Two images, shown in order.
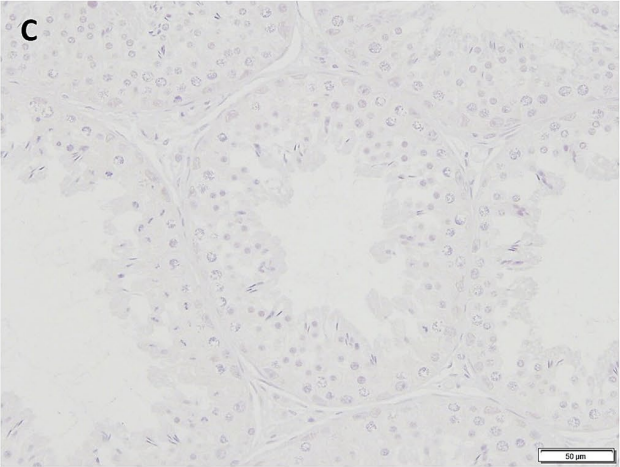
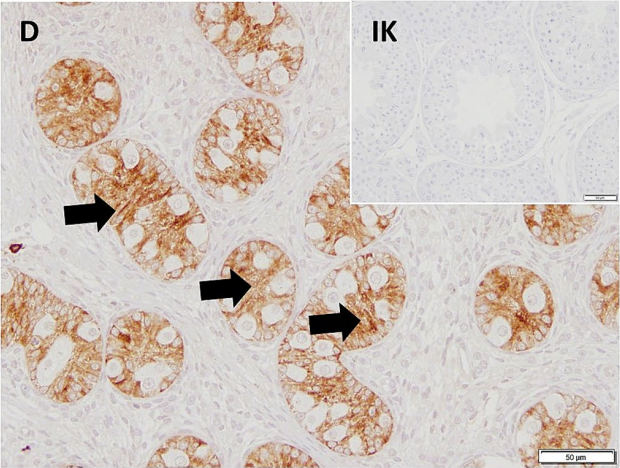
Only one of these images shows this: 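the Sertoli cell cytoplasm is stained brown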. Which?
The second image.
